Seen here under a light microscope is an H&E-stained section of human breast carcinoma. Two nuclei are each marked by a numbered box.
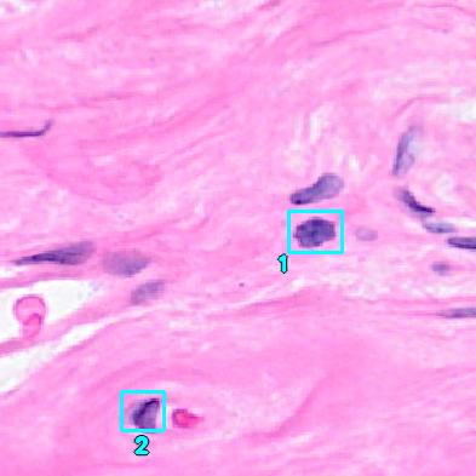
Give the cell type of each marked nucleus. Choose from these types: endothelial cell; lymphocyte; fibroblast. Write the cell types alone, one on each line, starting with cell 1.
lymphocyte
endothelial cell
